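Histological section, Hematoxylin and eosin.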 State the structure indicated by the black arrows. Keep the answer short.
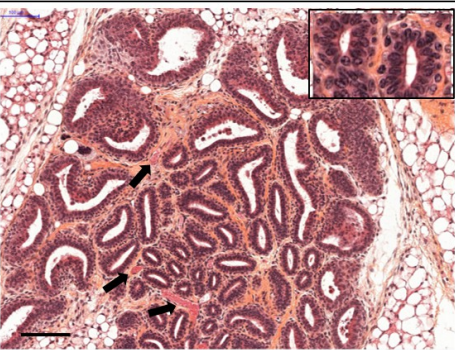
Blood vessels.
